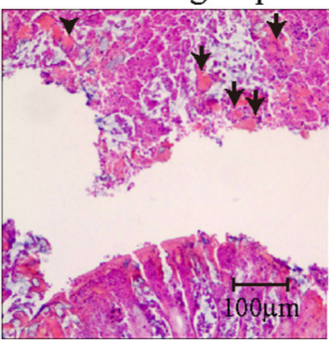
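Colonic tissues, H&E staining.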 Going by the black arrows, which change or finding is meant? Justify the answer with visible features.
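The arrows point to bright pink-red, structureless patches within disrupted mucosa. The mucosal architecture around the marked patches is broken up, with no orderly crypts.
Conclusion: necrotic materials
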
